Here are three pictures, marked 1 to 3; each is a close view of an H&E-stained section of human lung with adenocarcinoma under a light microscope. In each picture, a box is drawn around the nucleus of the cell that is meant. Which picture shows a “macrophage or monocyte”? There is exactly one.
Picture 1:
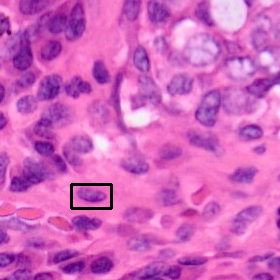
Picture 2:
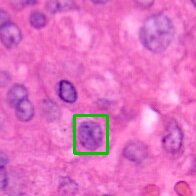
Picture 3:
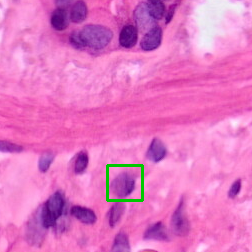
2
